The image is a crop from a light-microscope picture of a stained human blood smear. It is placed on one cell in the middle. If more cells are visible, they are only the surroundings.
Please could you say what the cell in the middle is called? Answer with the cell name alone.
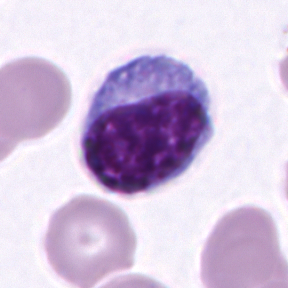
plasma cell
